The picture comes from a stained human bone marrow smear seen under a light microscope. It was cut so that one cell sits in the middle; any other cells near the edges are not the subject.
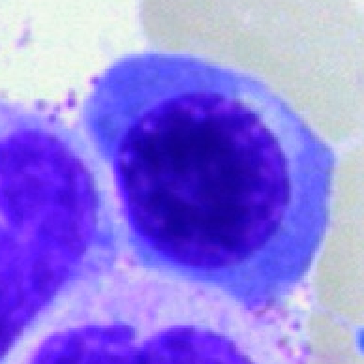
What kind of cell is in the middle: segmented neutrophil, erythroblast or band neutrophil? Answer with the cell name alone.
erythroblast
